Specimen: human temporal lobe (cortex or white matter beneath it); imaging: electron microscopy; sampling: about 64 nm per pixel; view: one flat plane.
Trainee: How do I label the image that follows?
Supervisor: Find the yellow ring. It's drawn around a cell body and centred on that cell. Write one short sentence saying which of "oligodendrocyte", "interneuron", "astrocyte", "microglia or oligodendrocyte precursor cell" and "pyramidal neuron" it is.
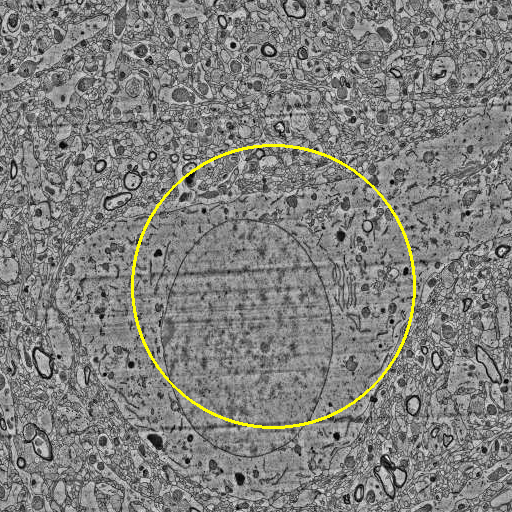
This is the cell body of a pyramidal neuron.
